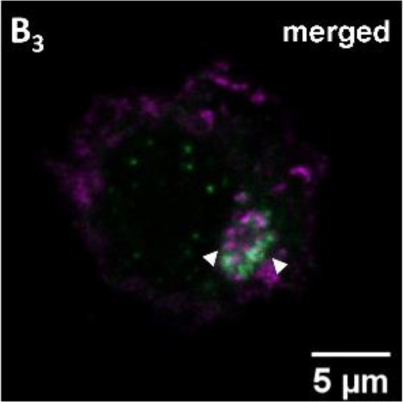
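A single cell with an irregular, ruffled outline is seen, its border marked by patchy magenta signal around a large dark central area. On one side of this central area sits a compact, rounded cluster of green puncta closely interwoven with magenta, with whitish overlap between them. Two white arrowheads flank this cluster.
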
